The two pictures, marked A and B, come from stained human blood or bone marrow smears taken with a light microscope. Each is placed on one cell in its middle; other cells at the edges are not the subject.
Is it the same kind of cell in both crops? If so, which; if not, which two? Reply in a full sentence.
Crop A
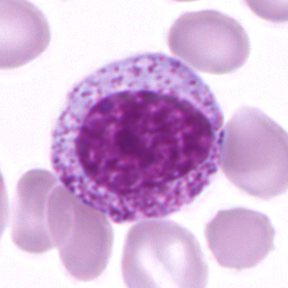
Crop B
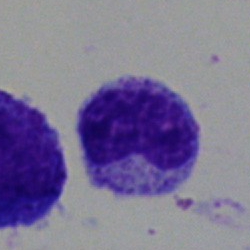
Yes, metamyelocytes lie at the centre of both crops.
